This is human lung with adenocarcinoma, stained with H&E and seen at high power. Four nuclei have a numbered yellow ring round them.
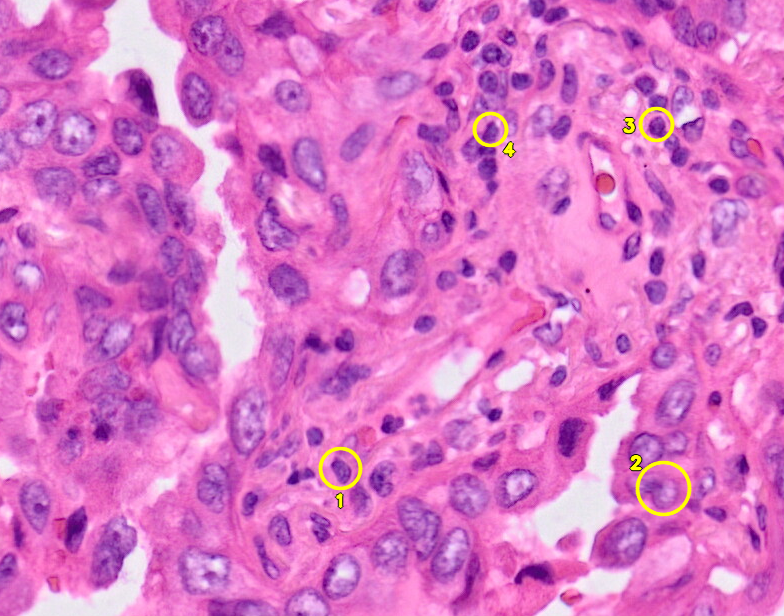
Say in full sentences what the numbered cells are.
Cell 1 is a lymphocyte, cell 2 is a carcinoma cell, cell 3 is a lymphocyte and cell 4 is a lymphocyte.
